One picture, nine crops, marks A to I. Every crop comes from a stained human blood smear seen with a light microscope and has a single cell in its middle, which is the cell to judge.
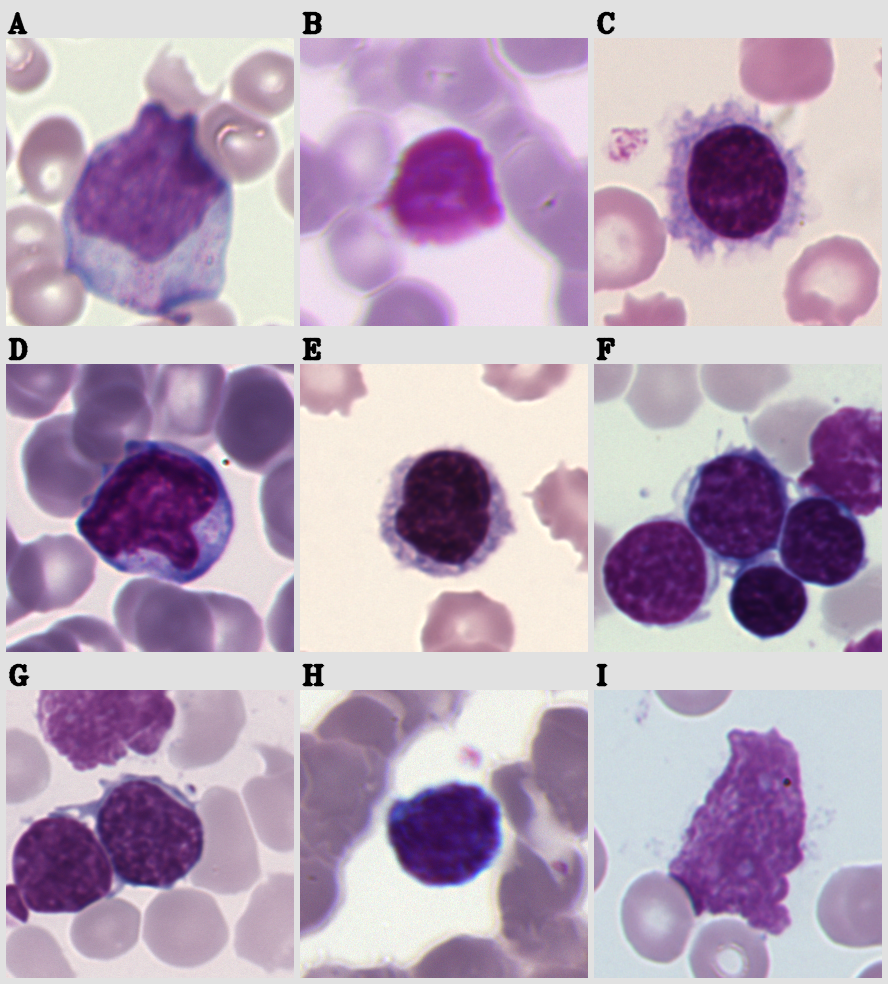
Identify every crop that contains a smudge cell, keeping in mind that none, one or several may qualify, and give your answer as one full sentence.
The central cells are smudge cells in crops B and I.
